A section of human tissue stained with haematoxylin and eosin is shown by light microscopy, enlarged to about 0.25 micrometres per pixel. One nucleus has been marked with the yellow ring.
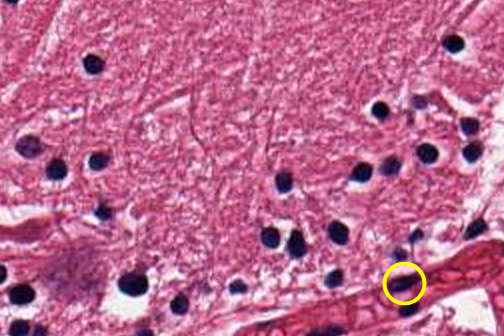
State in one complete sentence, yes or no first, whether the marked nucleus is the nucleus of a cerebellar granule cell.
No, the marked nucleus does not come from a cerebellar granule cell but from a supporting cell.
